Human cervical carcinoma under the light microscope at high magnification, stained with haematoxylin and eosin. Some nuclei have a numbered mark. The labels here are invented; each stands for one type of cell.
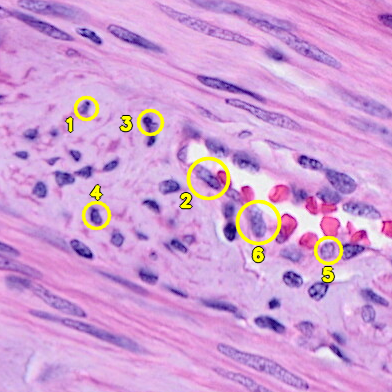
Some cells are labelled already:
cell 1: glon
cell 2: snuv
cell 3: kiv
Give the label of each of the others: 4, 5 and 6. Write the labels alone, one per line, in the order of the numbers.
glon
snuv
snuv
